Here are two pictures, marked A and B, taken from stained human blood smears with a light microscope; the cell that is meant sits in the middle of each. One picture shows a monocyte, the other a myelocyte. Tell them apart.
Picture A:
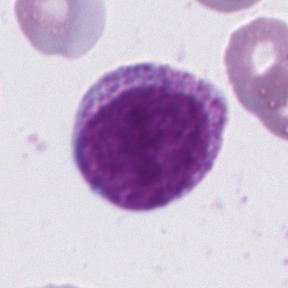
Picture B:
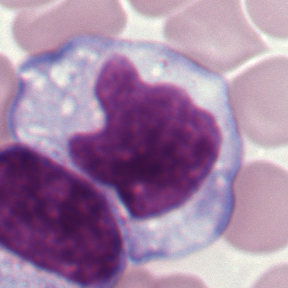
A: myelocyte
B: monocyte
